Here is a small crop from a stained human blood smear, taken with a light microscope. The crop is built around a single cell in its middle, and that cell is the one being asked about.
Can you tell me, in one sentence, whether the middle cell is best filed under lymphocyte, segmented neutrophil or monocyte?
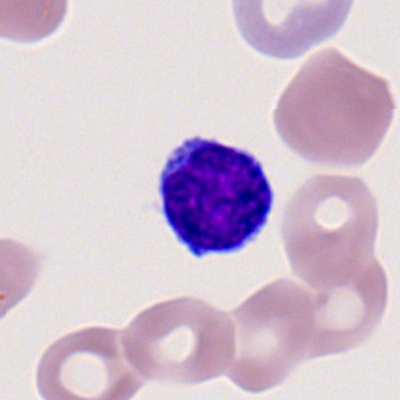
Located at the centre of the crop is a lymphocyte.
